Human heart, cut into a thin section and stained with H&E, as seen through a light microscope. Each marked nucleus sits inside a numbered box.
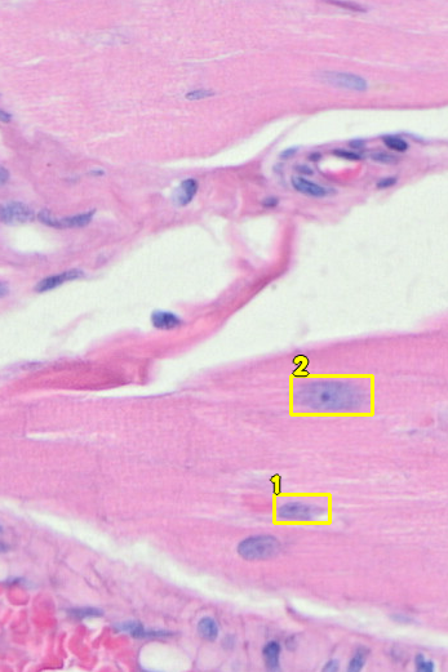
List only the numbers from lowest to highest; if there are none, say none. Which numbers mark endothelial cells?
1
